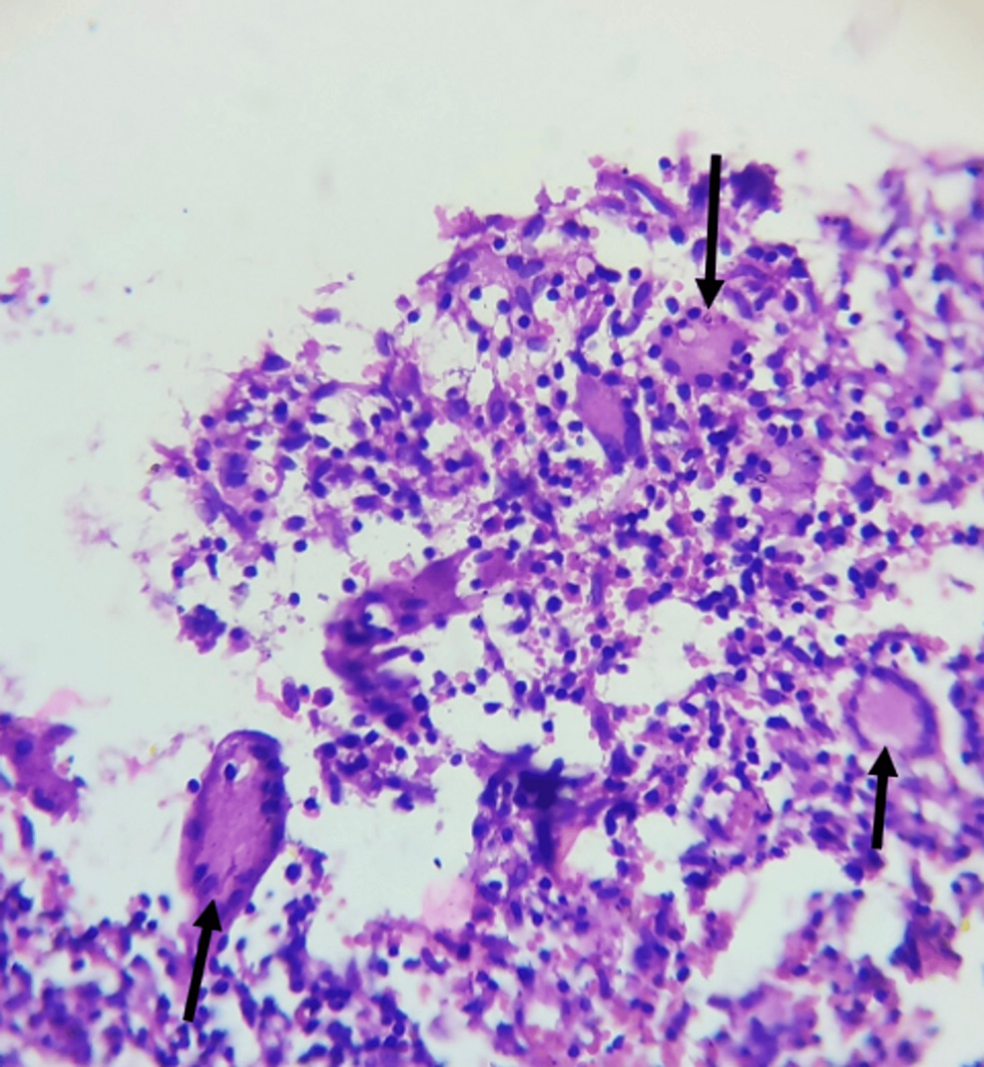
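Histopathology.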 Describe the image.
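This section shows several large multinucleated giant cells lying unevenly scattered within a dense background of small mononuclear cells. The giant cells have abundant pale pink to purple cytoplasm and carry many small dark nuclei, which in some cells sit near the cell edge. Around them lie numerous small cells with dark, round to oval nuclei, some of them somewhat elongated, set in a loose pinkish stroma broken by clear spaces.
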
